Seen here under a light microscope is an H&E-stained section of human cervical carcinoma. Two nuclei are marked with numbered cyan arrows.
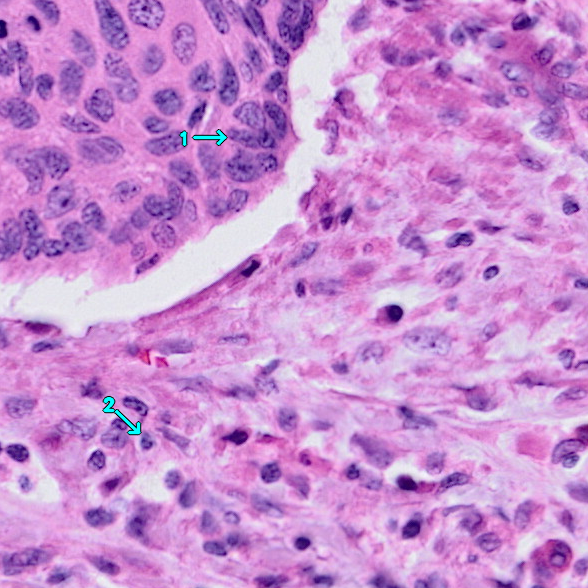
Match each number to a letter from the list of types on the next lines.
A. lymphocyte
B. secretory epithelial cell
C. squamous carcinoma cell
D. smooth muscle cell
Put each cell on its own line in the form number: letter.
1: C
2: A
